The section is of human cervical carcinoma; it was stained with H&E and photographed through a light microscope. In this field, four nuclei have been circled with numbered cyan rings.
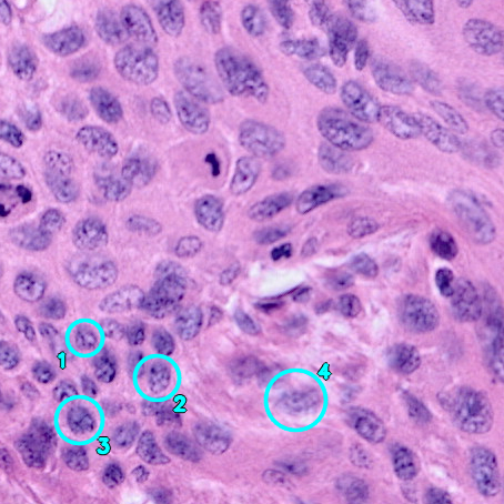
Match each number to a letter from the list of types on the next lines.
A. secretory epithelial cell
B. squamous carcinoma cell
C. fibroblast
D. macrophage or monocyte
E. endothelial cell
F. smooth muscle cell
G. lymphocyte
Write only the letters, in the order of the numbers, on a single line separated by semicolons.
B; B; B; C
